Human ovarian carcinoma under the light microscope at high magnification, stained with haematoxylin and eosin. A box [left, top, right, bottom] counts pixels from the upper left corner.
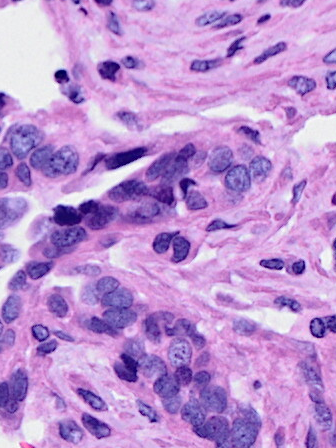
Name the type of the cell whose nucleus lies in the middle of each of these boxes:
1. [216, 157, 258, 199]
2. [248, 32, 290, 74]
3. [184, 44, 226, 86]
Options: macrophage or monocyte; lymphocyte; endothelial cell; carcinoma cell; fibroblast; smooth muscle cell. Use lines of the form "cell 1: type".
cell 1: carcinoma cell
cell 2: fibroblast
cell 3: fibroblast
